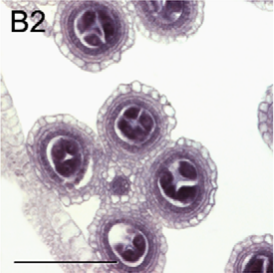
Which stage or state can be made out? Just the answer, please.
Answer: Pollen mother cell stage.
